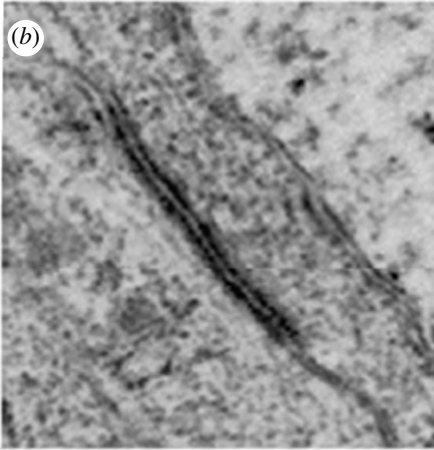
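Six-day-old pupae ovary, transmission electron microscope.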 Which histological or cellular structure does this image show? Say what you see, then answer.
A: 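Two closely apposed membranes run diagonally with dense dark material along them. The dark thickening follows the cell boundary over a stretch and fades at its ends.
Conclusion: junction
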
